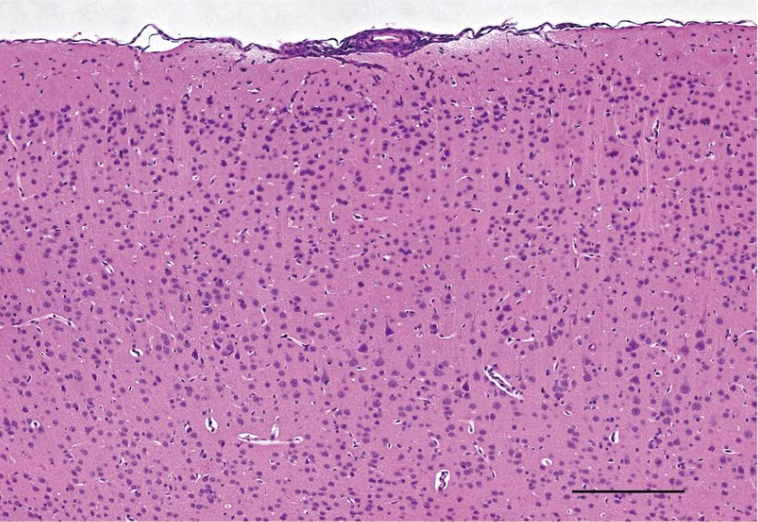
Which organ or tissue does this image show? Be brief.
Cortical surface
